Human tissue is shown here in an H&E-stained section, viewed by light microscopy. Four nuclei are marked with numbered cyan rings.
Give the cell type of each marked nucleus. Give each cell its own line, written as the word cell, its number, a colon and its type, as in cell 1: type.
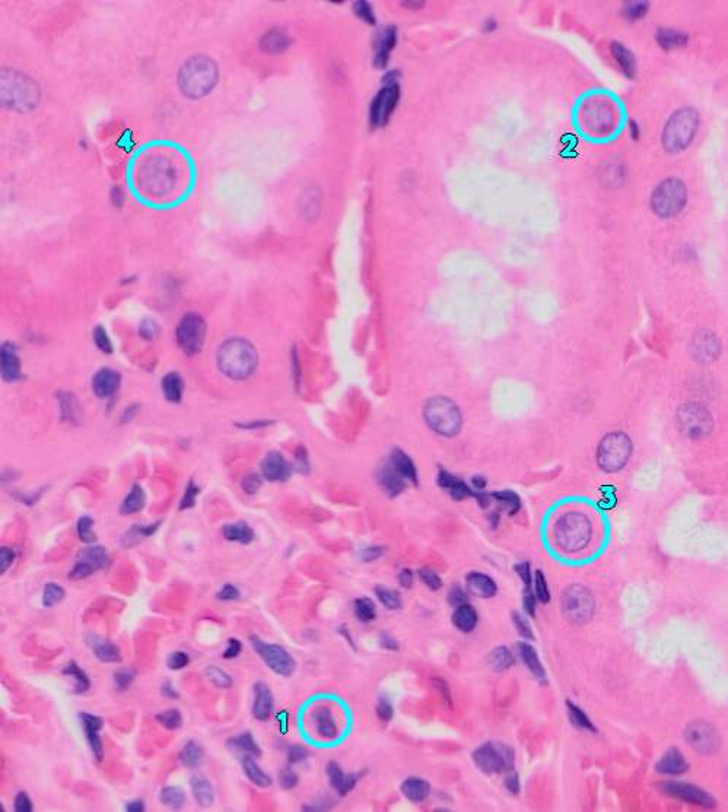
cell 1: endothelial cell
cell 2: proximal tubule cell
cell 3: proximal tubule cell
cell 4: proximal tubule cell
